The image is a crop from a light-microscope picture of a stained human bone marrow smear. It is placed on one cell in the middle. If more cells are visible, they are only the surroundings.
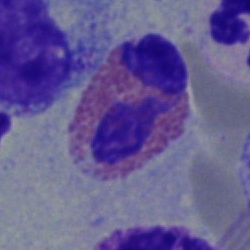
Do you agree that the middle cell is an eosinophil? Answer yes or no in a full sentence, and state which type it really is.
Yes, the cell sitting in the middle of this smear crop is an eosinophil.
